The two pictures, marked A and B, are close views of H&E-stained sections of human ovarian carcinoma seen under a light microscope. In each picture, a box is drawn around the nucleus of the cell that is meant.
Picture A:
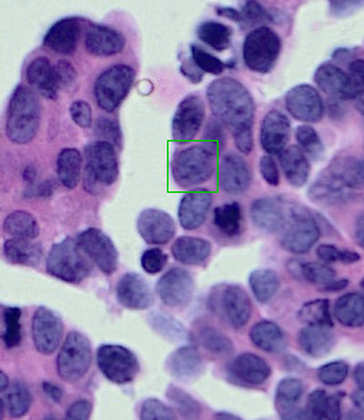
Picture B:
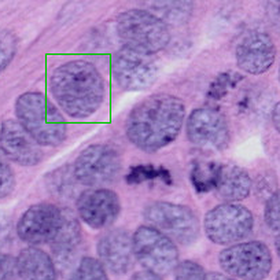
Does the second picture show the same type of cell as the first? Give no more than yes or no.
yes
